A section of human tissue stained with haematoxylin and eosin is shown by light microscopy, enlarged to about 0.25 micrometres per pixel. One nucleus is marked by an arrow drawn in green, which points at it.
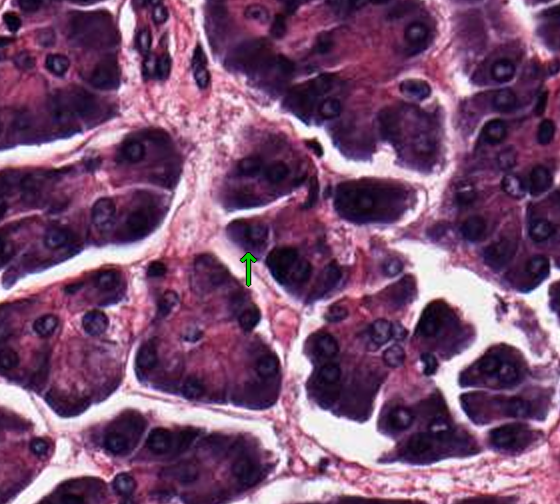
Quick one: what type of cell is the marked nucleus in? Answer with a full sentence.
Here it is a pancreatic acinar cell that the marked nucleus belongs to.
